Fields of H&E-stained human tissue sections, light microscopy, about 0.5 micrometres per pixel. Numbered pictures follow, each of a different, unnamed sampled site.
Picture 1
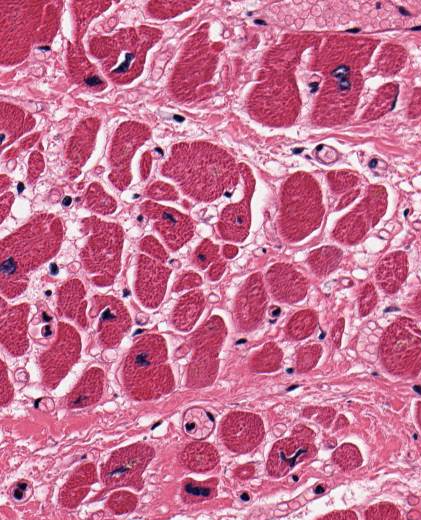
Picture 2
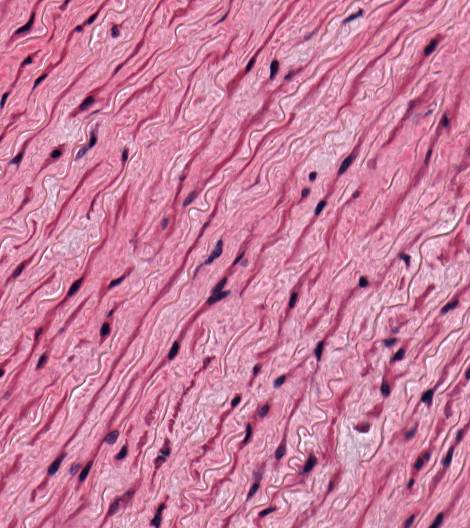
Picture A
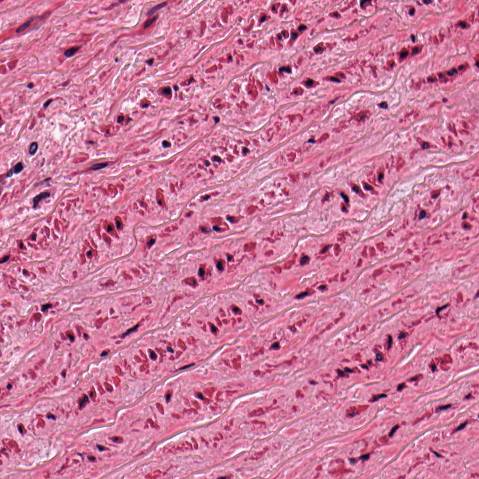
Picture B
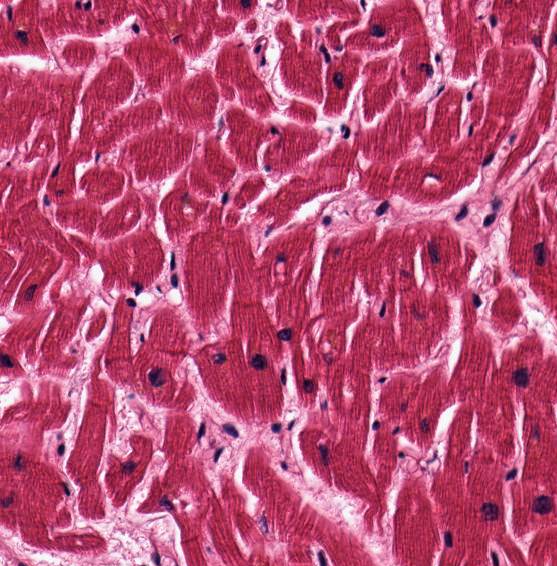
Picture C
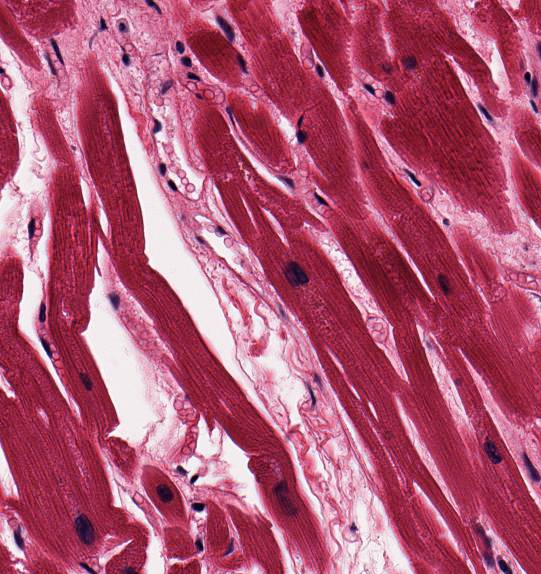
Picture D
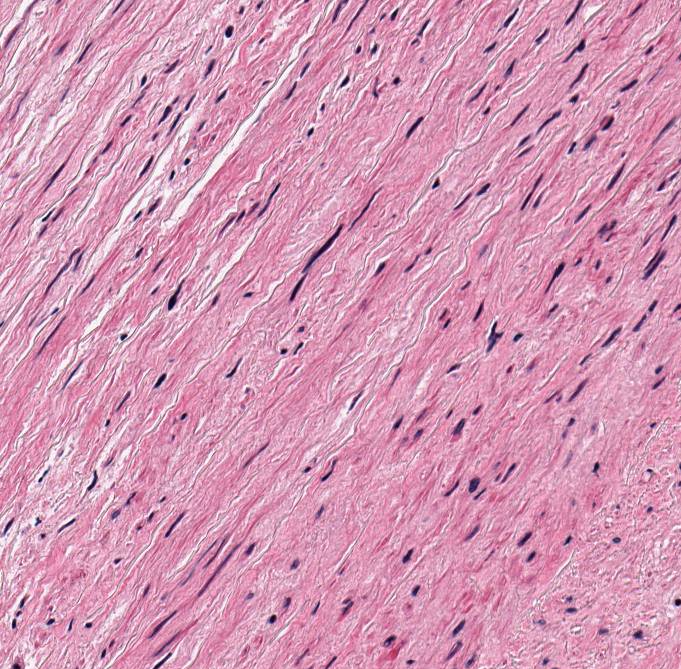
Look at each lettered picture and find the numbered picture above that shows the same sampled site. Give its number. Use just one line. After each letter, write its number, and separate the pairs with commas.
A 2, B 1, C 1, D 2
